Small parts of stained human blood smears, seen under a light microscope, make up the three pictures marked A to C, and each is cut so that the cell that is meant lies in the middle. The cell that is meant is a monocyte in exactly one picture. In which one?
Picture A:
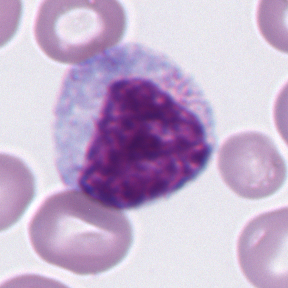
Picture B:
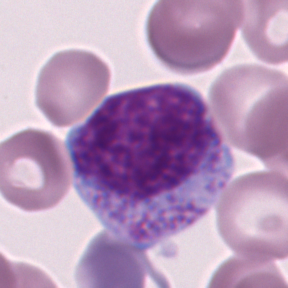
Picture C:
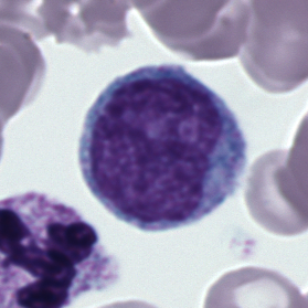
C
